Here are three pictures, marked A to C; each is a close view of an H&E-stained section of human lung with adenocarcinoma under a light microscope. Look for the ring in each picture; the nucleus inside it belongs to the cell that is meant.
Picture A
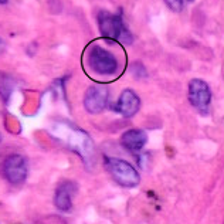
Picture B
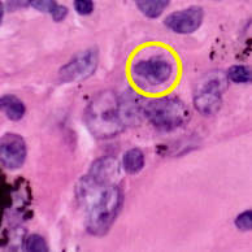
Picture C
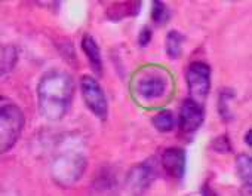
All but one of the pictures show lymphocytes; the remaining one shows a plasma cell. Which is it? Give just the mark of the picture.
A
